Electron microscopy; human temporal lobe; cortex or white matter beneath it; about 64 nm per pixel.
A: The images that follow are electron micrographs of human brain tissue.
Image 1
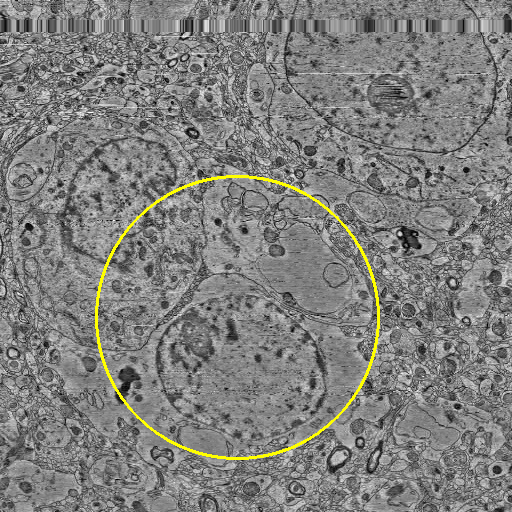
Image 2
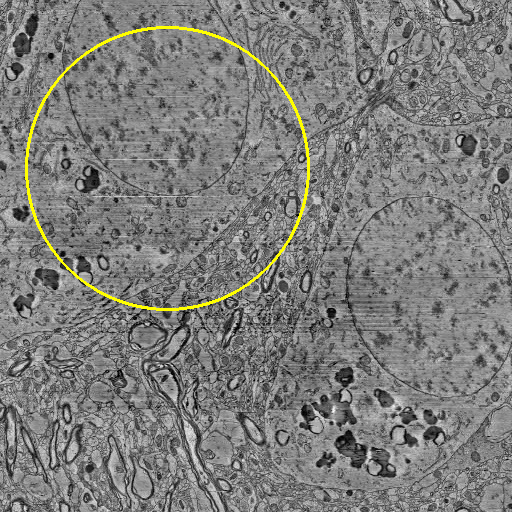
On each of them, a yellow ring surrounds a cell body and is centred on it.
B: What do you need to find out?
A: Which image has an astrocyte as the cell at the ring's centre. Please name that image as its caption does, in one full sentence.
Image 1 is the one whose ring has the sought cell at its centre.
